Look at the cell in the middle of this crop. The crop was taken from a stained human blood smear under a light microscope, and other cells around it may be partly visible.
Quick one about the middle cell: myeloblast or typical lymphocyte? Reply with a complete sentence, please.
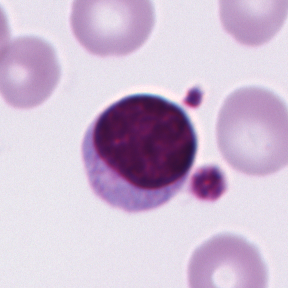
Framed in the middle of the crop is a typical lymphocyte.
